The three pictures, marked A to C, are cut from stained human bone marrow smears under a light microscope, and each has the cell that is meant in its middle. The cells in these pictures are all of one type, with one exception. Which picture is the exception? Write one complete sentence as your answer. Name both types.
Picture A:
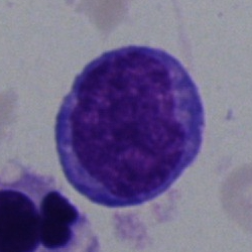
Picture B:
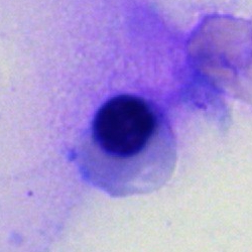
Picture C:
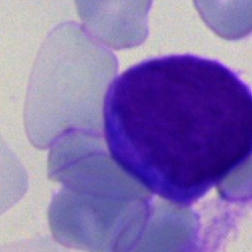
All pictures except B show blasts; picture B shows an erythroblast.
